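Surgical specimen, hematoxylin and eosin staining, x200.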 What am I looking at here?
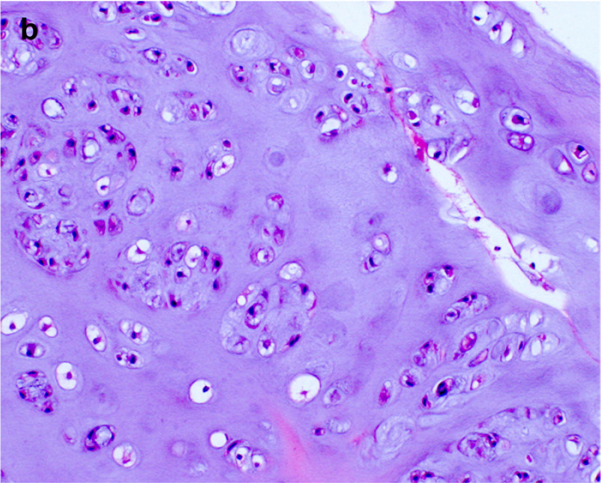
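Malignant cartilage made of atypical chondrocytes lying in lacunae within a homogeneous pale blue-purple hyaline matrix. Nuclei are enlarged, dark and irregular, and many lacunae hold two or more cells, often clustered in small groups. A narrow cleft crosses the tissue at the upper right.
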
